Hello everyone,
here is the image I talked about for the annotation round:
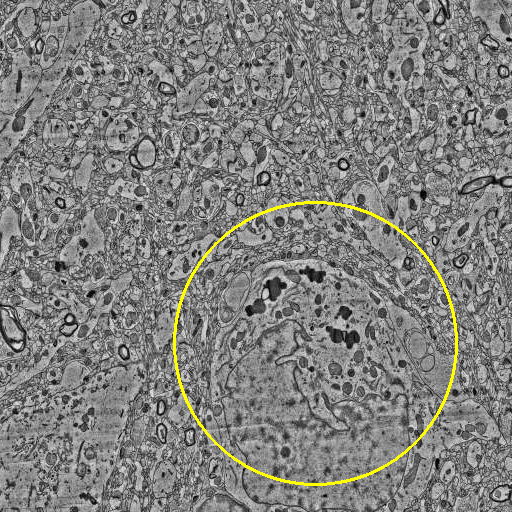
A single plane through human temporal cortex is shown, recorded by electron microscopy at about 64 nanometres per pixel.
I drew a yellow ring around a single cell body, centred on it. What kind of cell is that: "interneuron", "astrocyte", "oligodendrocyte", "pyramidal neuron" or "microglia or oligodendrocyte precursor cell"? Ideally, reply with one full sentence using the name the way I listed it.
The cell your yellow ring is centred on is an interneuron, going by your list.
